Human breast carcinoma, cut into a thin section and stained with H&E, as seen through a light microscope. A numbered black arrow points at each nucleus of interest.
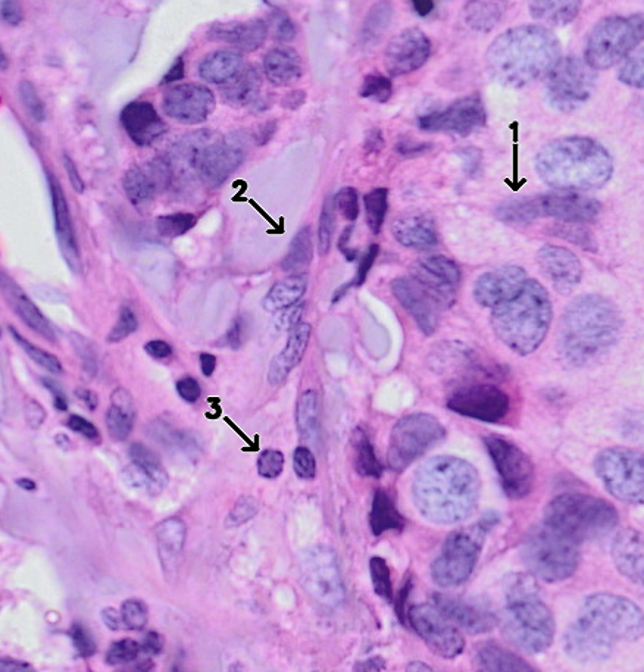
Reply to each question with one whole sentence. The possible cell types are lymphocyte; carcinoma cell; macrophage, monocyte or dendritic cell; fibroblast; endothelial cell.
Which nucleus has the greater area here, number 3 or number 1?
Number 1 is larger; its area is about 1.5 times that of number 3.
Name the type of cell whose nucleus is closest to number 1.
The nucleus nearest to number 1 is that of a carcinoma cell.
